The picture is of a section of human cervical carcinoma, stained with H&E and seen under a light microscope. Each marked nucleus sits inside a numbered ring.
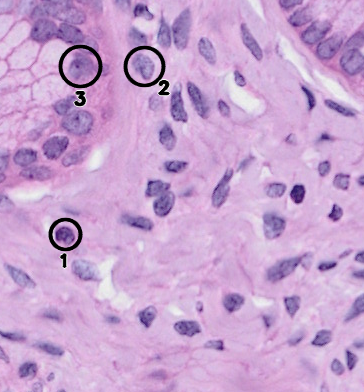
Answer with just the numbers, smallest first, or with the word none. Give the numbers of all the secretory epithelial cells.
3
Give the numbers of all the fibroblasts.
2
